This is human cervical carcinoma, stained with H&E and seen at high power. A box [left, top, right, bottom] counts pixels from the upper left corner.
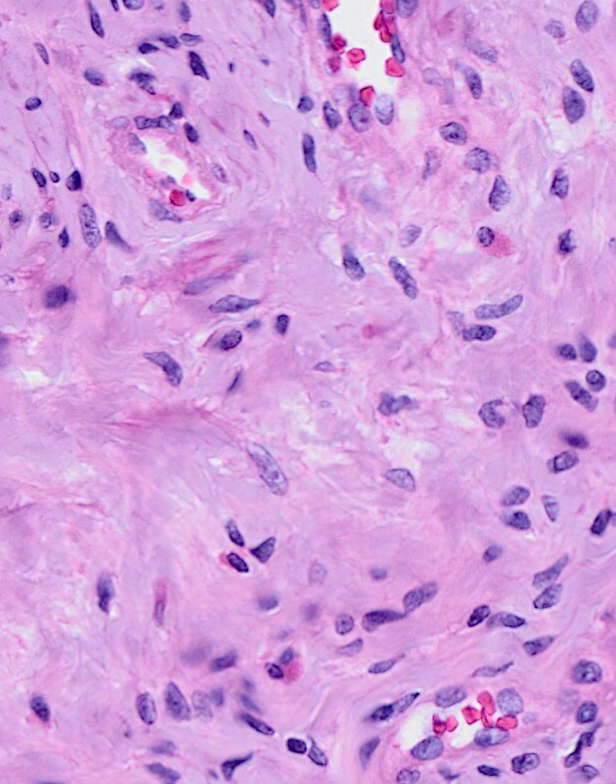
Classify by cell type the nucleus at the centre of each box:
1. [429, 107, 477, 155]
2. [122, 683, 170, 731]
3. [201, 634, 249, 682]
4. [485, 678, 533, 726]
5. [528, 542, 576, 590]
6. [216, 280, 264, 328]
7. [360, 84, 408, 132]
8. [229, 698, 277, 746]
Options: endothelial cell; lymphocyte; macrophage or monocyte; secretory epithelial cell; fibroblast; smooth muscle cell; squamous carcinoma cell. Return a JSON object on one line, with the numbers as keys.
{"1": "endothelial cell", "2": "fibroblast", "3": "fibroblast", "4": "endothelial cell", "5": "fibroblast", "6": "fibroblast", "7": "endothelial cell", "8": "fibroblast"}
